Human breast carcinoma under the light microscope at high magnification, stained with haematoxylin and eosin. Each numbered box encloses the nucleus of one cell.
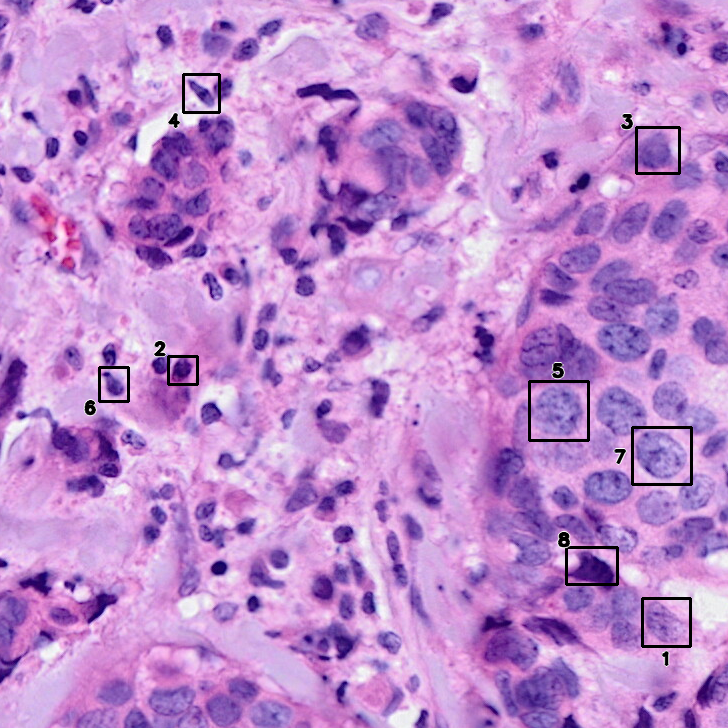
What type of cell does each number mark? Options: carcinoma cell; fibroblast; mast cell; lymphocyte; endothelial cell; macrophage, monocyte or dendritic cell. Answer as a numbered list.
1. carcinoma cell
2. lymphocyte
3. carcinoma cell
4. lymphocyte
5. carcinoma cell
6. lymphocyte
7. carcinoma cell
8. carcinoma cell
